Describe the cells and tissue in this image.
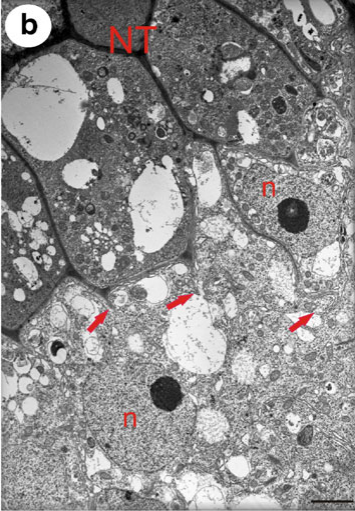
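Peripheral part of a syncytium where nutritive tissue cells are merging with it. Walled nutritive cells in the upper left carry large clear vacuoles and dense inclusions, bounded by dark continuous walls. Further in, the walls between protoplasts become faint and interrupted, and the cytoplasm runs on with nuclei bearing dense nucleoli and many clear vacuoles.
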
